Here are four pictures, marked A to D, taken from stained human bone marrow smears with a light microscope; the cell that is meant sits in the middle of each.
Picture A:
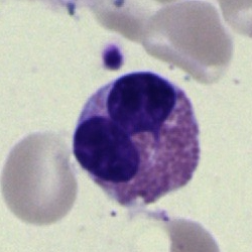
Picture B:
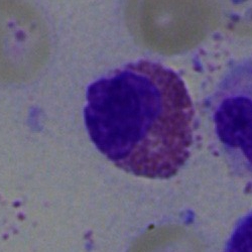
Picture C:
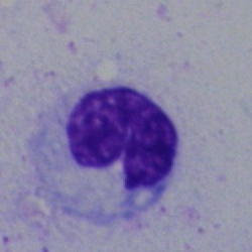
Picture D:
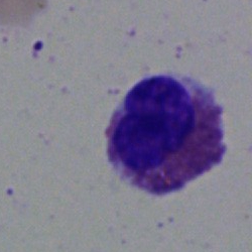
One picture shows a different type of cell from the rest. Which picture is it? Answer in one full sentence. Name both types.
The different one is picture C; it shows a band neutrophil, whereas all the others show eosinophils.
